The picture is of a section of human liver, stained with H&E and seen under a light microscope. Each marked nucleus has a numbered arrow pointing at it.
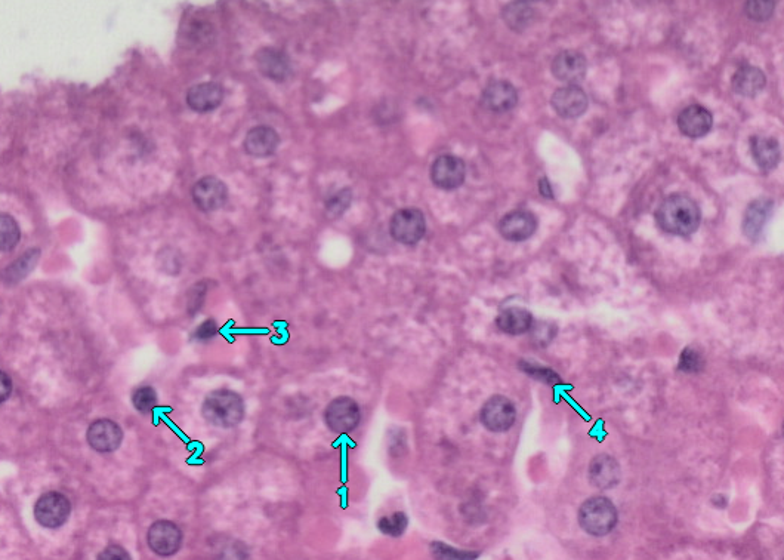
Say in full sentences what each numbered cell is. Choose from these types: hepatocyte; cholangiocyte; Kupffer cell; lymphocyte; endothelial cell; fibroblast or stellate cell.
Cell 1 is a hepatocyte, cell 2 is a lymphocyte, cell 3 is a lymphocyte and cell 4 is a fibroblast or stellate cell.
